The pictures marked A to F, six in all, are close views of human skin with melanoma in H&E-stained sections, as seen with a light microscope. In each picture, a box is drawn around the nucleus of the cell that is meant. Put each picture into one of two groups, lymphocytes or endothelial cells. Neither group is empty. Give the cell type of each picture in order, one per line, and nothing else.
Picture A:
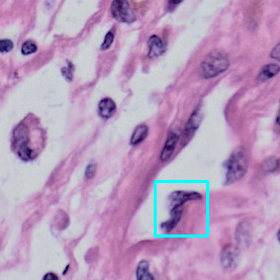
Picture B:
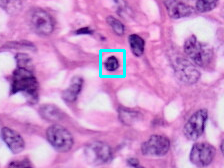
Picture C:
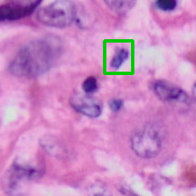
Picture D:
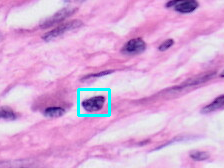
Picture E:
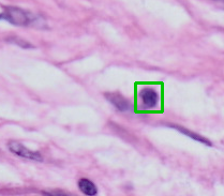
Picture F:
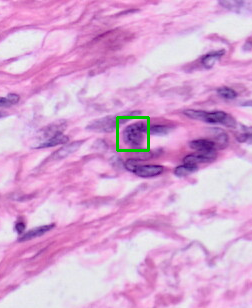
endothelial cell
lymphocyte
lymphocyte
lymphocyte
lymphocyte
endothelial cell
